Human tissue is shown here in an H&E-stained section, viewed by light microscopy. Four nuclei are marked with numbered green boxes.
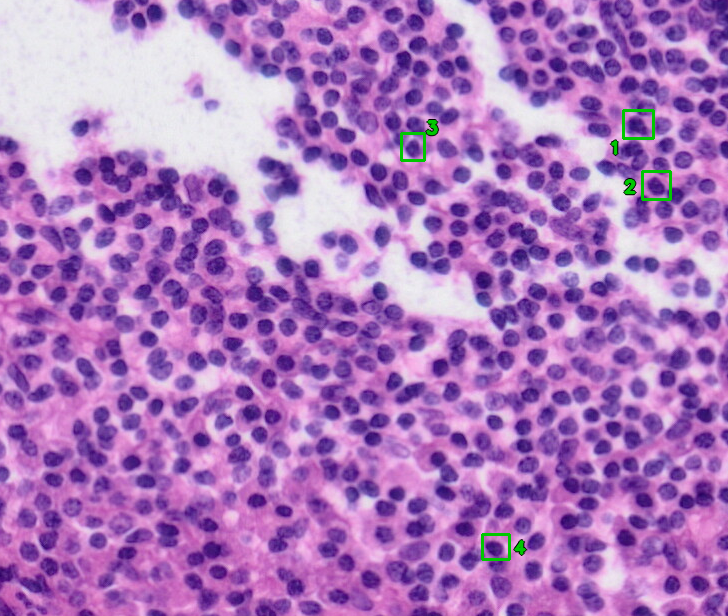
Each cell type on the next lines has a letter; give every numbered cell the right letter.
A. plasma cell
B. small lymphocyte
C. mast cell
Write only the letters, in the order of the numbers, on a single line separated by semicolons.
B; B; B; A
